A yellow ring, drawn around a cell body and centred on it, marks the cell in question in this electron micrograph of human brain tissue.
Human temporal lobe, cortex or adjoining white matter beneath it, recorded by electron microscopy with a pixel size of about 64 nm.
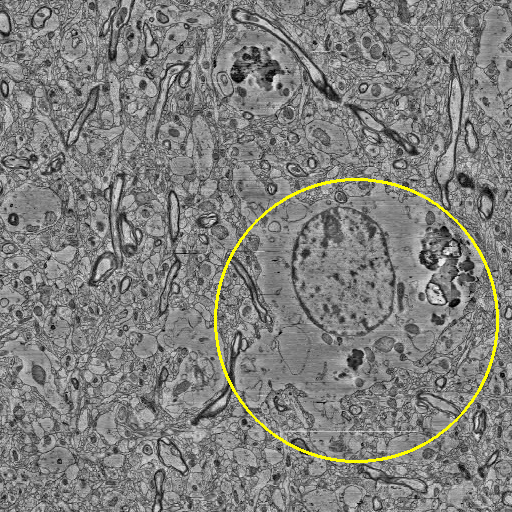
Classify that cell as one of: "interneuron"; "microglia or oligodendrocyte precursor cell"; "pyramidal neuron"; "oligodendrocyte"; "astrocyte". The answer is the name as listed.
astrocyte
